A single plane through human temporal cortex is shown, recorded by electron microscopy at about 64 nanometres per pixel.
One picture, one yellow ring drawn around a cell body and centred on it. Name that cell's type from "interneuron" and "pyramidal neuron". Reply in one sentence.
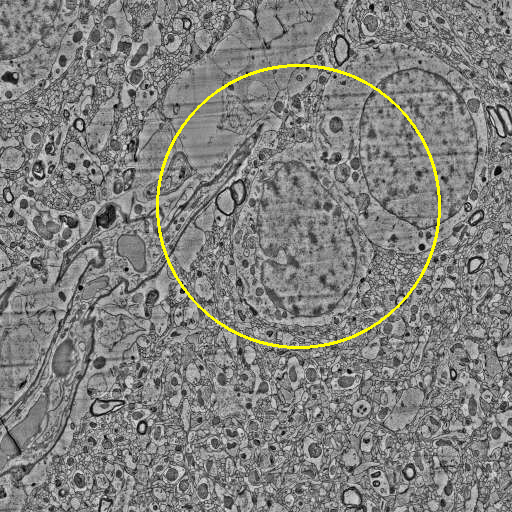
Centred in the ring is an interneuron.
